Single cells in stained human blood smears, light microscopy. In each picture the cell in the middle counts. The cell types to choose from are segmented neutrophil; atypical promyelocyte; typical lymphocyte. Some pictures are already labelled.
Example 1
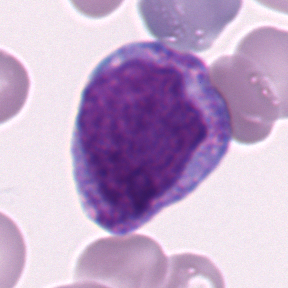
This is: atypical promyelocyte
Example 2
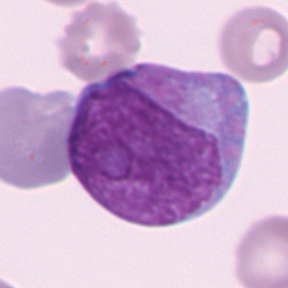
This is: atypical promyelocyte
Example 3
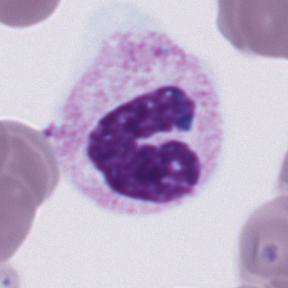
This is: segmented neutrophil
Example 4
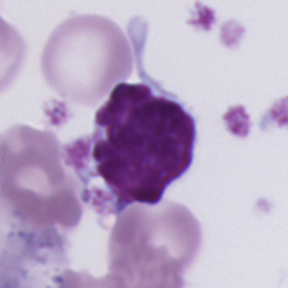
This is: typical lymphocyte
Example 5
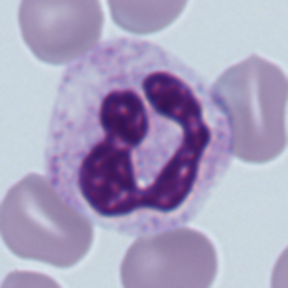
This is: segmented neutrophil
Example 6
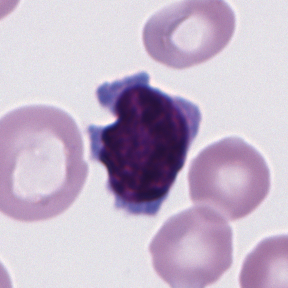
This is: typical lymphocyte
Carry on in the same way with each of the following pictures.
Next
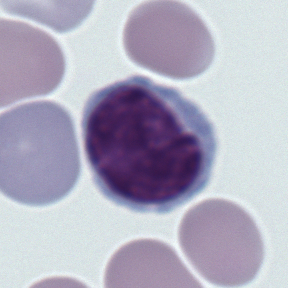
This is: typical lymphocyte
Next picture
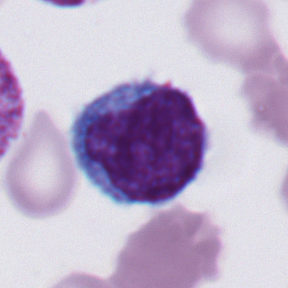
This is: typical lymphocyte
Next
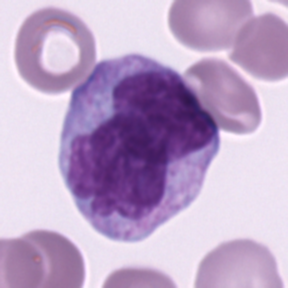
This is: atypical promyelocyte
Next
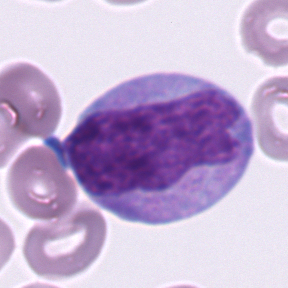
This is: atypical promyelocyte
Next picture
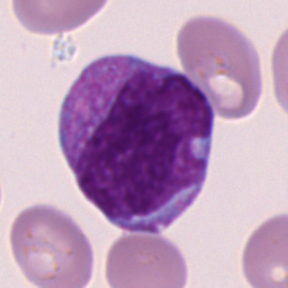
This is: atypical promyelocyte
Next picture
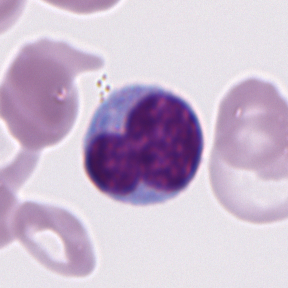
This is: typical lymphocyte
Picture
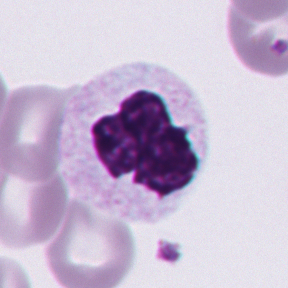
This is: segmented neutrophil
